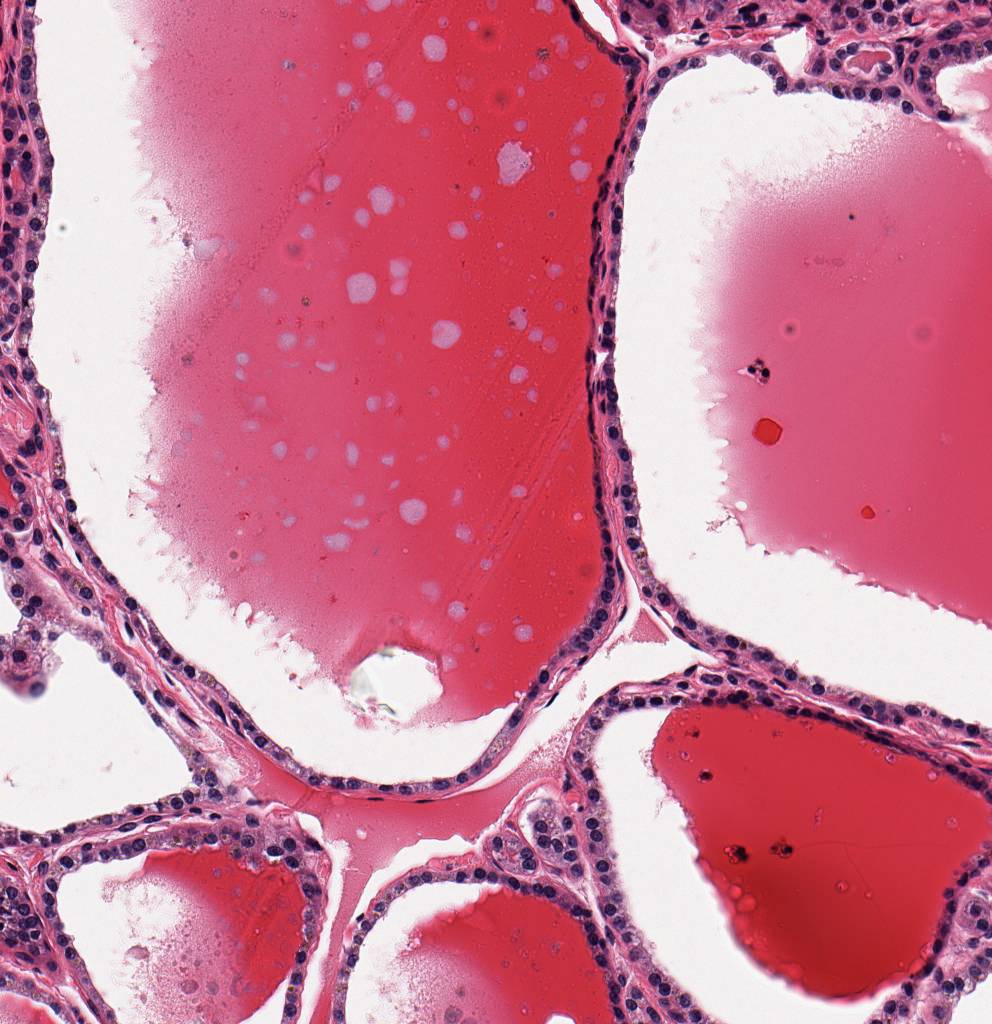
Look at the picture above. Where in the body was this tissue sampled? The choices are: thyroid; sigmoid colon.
thyroid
